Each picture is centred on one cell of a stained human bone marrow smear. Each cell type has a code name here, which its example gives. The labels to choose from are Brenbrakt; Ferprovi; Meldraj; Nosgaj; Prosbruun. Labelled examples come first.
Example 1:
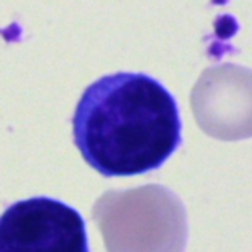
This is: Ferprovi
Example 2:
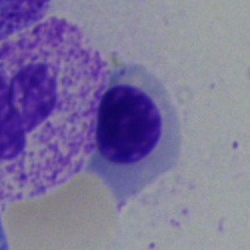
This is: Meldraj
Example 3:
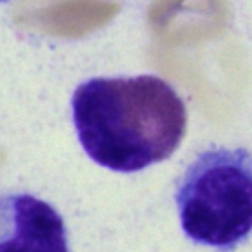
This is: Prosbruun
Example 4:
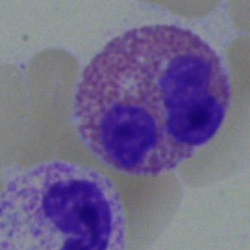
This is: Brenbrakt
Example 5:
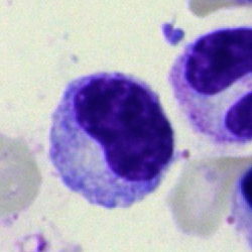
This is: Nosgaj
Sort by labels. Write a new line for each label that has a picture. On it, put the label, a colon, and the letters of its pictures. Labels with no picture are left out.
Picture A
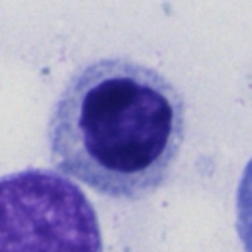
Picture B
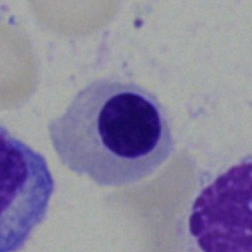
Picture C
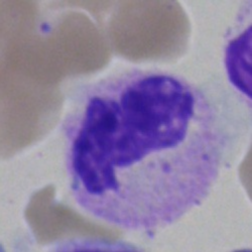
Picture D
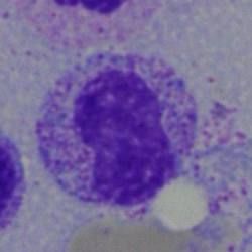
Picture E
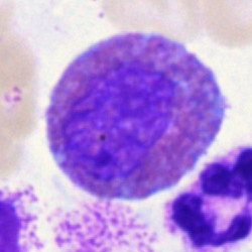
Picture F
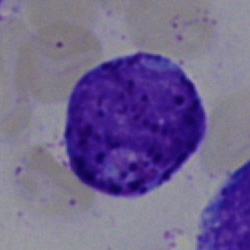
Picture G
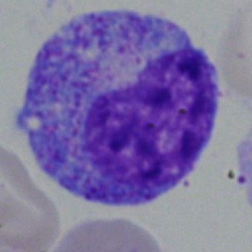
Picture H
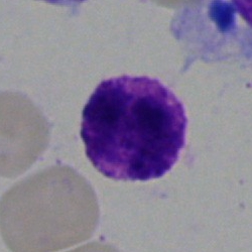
Brenbrakt: E
Meldraj: A, B
Nosgaj: D, G
Prosbruun: C, F, H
